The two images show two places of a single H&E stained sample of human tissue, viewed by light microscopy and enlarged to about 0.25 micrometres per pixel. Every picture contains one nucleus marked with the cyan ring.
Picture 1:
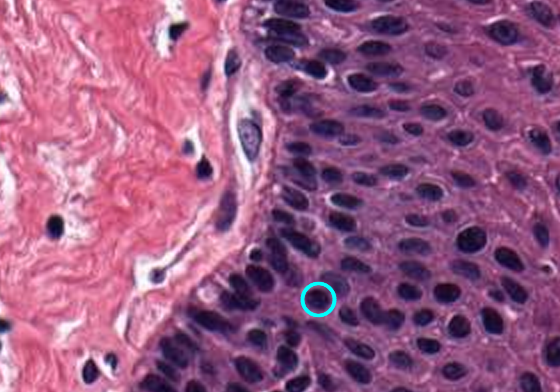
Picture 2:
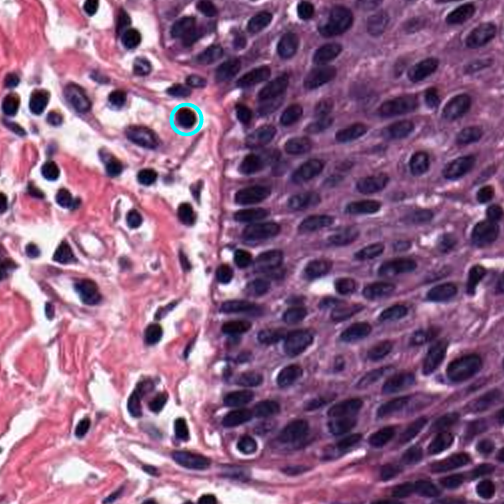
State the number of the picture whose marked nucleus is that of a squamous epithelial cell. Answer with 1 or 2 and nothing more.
1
